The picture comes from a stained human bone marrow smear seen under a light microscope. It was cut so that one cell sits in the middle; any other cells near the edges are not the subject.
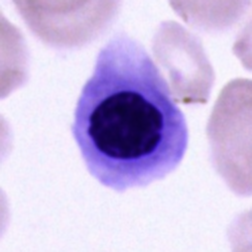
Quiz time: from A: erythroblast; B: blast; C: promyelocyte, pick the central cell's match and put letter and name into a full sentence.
The correct option, A, names the middle cell as an erythroblast.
